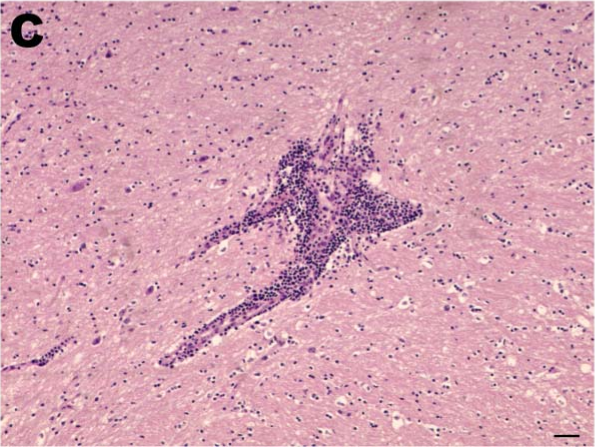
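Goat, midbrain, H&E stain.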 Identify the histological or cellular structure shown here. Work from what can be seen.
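Lymphoid perivascular cuff. A branching vessel surrounded by many layers of small round dark nuclei. The surrounding neural tissue has far fewer nuclei.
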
